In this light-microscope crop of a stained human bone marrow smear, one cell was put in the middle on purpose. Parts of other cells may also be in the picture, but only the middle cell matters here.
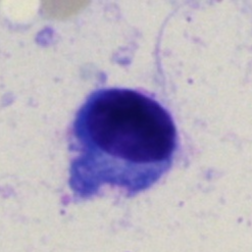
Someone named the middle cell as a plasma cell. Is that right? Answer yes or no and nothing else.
yes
